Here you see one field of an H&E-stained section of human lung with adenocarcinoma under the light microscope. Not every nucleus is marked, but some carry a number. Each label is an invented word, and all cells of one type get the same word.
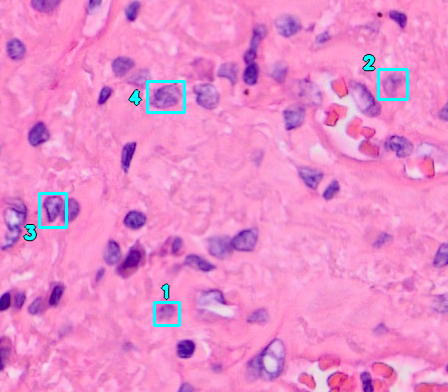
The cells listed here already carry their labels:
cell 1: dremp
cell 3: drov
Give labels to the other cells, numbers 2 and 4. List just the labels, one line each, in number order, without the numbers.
drov
drov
